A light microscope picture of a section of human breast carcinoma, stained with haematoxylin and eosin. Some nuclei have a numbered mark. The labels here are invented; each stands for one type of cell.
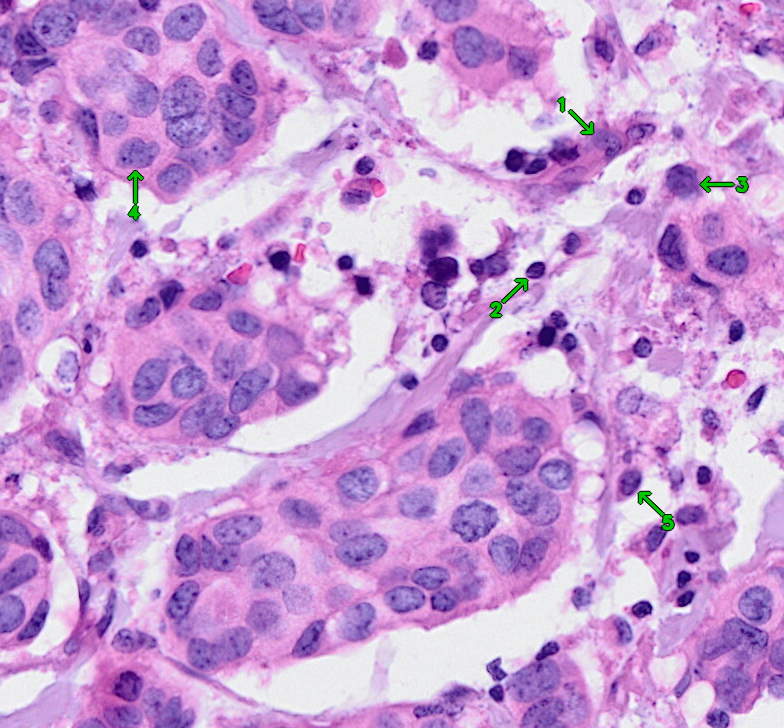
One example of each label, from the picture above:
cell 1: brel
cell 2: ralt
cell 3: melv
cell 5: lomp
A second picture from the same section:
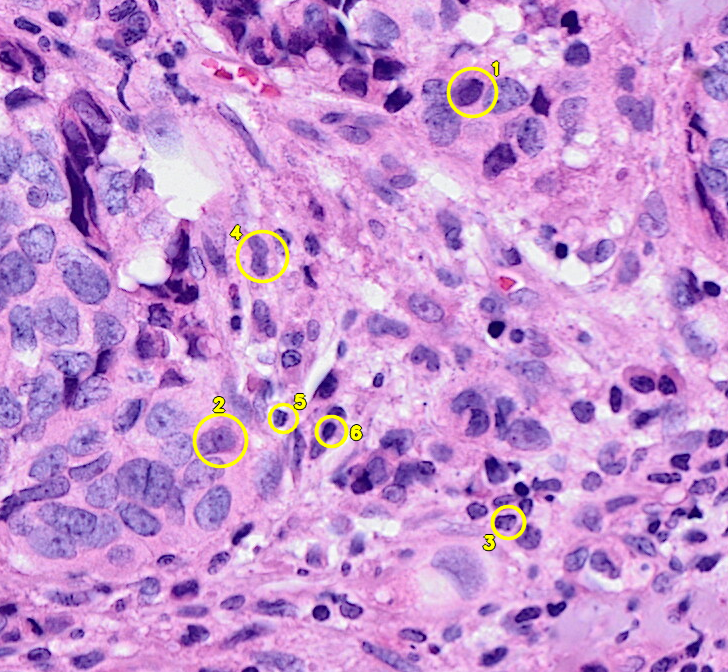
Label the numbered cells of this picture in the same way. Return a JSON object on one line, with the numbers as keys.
{"1": "melv", "2": "melv", "3": "ralt", "4": "lomp", "5": "ralt", "6": "ralt"}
